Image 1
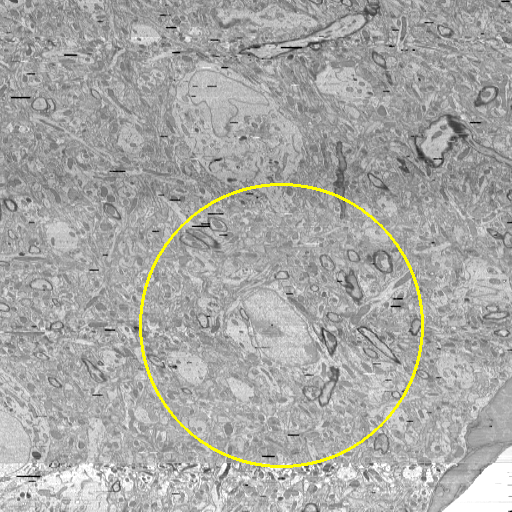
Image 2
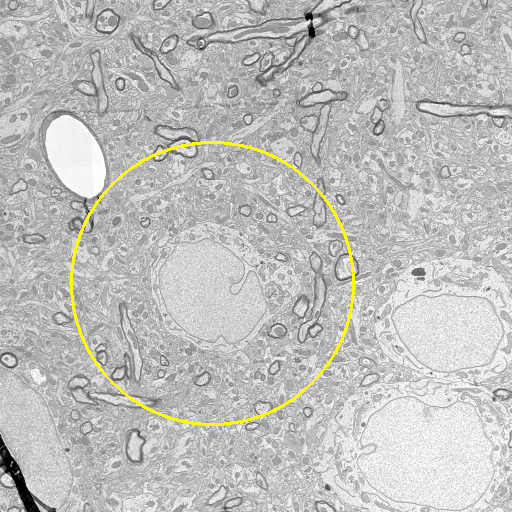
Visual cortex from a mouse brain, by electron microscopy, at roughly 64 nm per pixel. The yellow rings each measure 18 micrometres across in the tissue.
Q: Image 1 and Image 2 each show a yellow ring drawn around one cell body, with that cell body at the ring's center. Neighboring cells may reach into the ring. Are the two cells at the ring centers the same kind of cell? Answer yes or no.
no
